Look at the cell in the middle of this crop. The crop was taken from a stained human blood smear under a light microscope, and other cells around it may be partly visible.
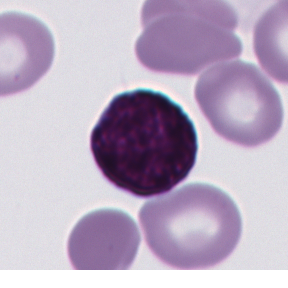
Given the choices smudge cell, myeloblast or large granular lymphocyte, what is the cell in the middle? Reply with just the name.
myeloblast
